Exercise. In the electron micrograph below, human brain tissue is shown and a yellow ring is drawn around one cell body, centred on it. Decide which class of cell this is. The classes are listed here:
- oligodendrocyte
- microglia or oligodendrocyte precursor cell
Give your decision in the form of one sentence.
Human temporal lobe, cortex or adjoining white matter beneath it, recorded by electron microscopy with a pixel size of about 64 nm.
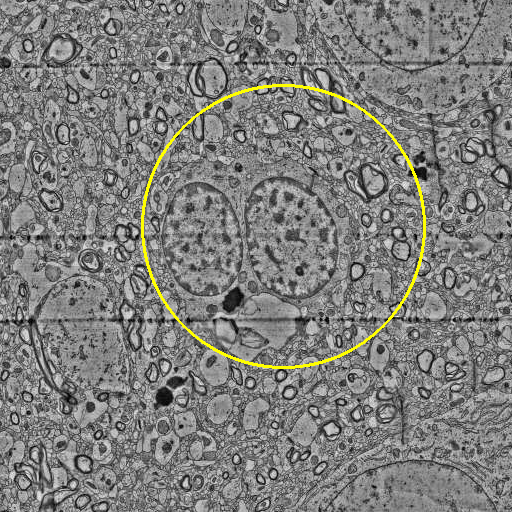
The cell body marked by the ring belongs to an oligodendrocyte.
